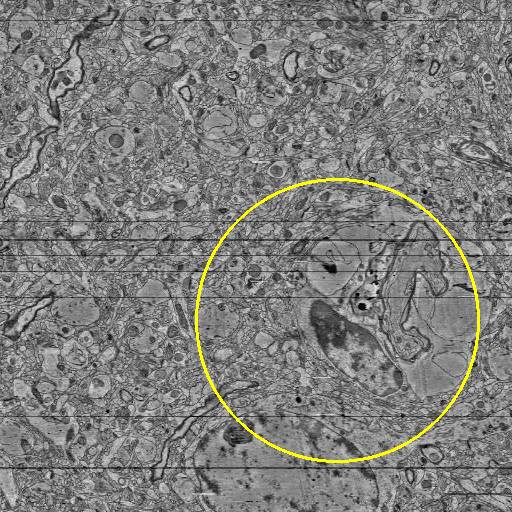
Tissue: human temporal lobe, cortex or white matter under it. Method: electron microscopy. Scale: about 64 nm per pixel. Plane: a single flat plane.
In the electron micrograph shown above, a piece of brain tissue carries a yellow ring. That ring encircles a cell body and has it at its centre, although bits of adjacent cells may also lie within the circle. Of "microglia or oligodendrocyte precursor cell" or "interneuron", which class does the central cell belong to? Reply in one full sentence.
The cell body at the centre of the yellow ring belongs to a microglial cell or oligodendrocyte precursor cell.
